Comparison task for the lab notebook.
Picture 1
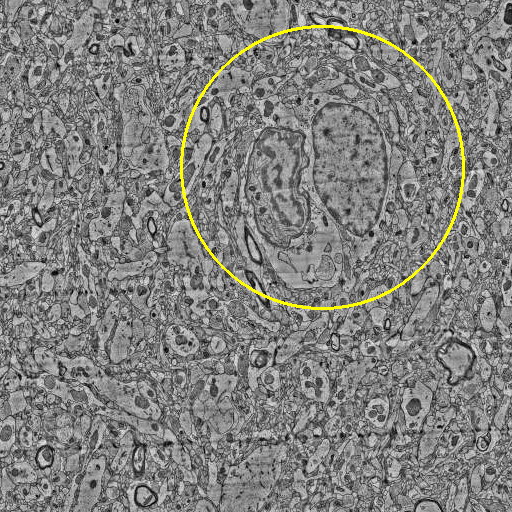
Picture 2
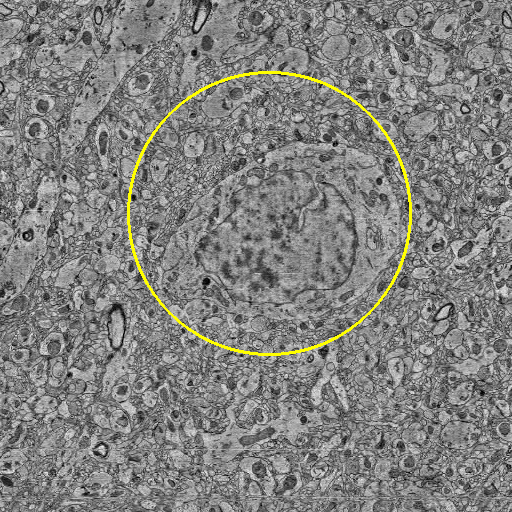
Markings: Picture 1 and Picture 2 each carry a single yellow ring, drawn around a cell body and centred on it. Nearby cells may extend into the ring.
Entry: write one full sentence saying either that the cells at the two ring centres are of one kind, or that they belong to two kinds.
The cells sitting at the ring centres in Picture 1 and Picture 2 belong to two kinds.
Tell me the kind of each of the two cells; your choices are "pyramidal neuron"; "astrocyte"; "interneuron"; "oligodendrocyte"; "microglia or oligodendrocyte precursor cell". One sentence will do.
The ringed cell is a microglial cell or oligodendrocyte precursor cell in the first picture and an interneuron in the second picture.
